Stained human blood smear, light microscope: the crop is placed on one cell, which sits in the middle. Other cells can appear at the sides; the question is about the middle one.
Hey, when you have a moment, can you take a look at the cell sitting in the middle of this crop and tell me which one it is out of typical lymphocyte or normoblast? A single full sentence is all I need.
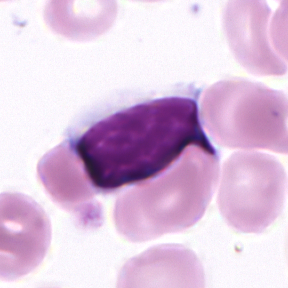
Where the crop is centred, there is a typical lymphocyte.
